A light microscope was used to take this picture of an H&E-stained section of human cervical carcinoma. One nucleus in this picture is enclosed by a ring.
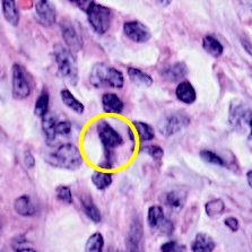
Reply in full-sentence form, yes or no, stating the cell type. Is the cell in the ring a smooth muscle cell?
No, the cell in the ring counts as a lymphocyte rather than as a smooth muscle cell.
